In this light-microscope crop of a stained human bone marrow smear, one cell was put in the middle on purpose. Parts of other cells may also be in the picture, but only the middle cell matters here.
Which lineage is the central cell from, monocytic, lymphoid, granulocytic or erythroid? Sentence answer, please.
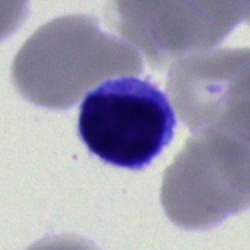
The cell at the center of this crop is categorized as lymphoid in lineage.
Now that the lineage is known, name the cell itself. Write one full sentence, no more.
The cell centered in this field of view is a lymphocyte.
